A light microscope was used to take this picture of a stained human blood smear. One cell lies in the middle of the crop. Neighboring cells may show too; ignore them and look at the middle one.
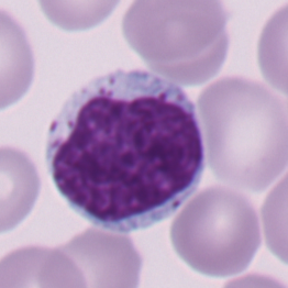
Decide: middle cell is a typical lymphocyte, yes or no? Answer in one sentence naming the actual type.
No, it is a large granular lymphocyte rather than a typical lymphocyte that the middle of the crop contains.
